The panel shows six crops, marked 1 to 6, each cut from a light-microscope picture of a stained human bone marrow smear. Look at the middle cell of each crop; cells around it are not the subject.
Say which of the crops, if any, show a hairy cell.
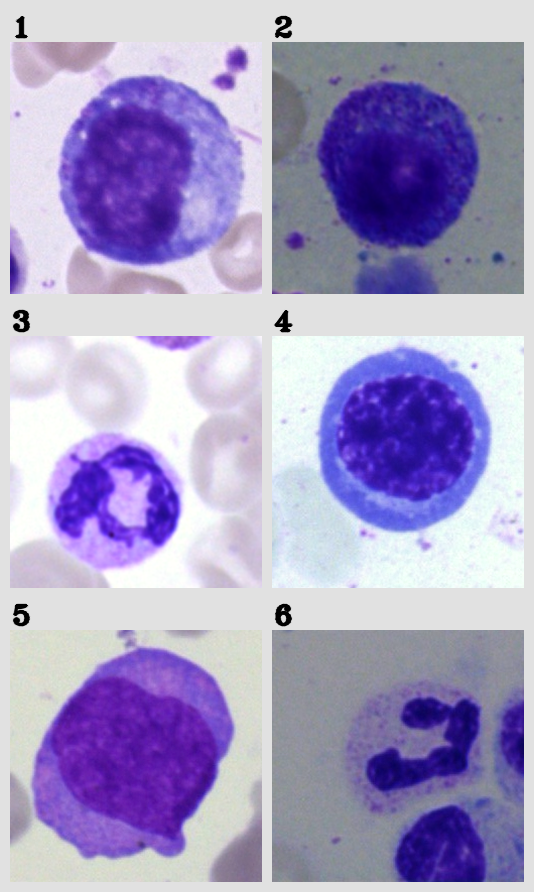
none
